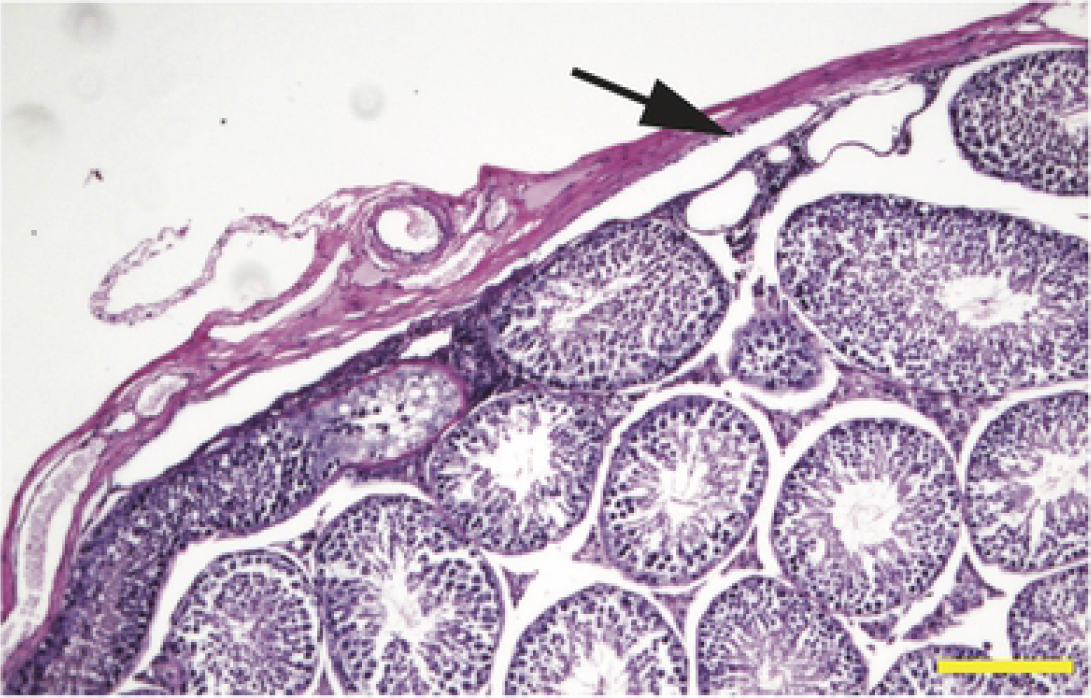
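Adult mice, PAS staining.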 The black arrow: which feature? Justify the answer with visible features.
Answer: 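The arrow points to thin channels lying just beneath the pink capsule at the edge of the testis. Round seminiferous tubules with full germ cell layers fill the rest of the section.
Rete testis.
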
